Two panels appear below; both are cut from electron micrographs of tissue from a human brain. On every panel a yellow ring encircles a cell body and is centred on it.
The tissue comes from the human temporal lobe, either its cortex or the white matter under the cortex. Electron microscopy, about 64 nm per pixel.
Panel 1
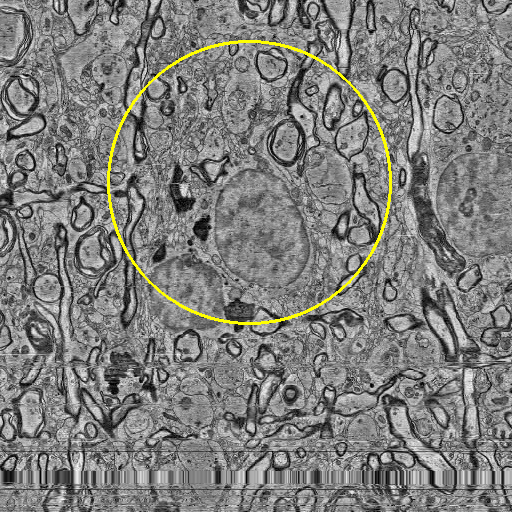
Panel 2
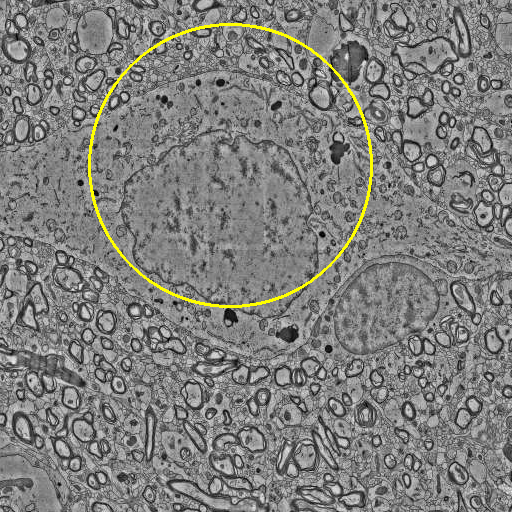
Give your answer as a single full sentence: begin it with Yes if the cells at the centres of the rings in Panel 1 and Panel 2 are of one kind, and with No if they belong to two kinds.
No, the cells in the middle of the rings in Panels 1 and 2 are of two kinds.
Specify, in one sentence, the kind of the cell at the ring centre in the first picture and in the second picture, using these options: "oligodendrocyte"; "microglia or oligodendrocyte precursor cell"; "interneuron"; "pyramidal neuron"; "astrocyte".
So the first is an oligodendrocyte, the second a pyramidal neuron.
